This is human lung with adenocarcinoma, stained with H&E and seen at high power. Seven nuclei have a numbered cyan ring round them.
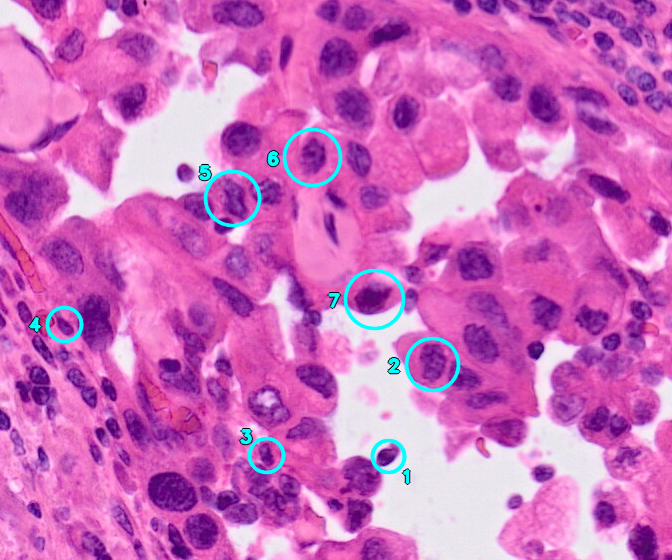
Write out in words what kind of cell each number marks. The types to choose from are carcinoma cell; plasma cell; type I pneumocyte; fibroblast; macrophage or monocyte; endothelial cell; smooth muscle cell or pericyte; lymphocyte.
Cell 1 is a lymphocyte, cell 2 is a carcinoma cell, cell 3 is a lymphocyte, cell 4 is a lymphocyte, cell 5 is a carcinoma cell, cell 6 is a carcinoma cell and cell 7 is a carcinoma cell.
